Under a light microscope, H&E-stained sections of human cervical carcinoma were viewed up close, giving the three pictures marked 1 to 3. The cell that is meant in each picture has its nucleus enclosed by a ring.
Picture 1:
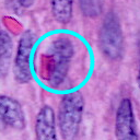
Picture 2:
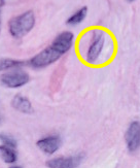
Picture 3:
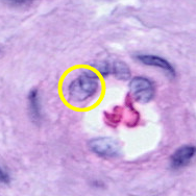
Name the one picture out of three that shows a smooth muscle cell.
2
